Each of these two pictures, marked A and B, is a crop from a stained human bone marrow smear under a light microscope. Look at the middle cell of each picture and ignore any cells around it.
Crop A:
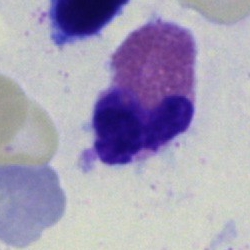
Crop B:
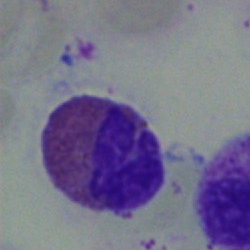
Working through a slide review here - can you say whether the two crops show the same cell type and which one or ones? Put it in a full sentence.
Yes, eosinophils occupy the centre of both crops.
